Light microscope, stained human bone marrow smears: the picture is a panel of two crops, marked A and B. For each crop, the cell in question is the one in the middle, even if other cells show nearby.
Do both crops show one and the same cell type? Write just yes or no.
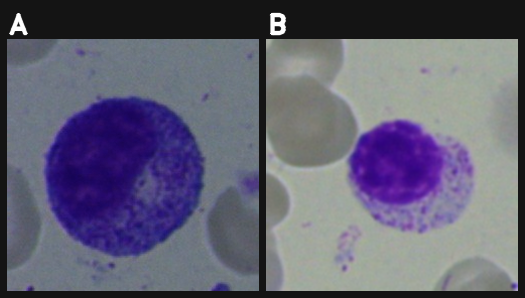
yes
